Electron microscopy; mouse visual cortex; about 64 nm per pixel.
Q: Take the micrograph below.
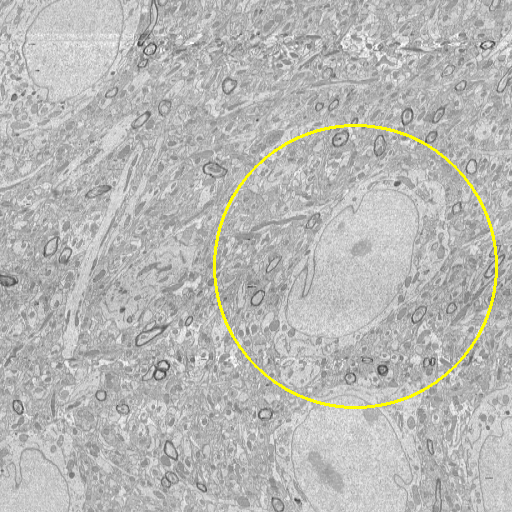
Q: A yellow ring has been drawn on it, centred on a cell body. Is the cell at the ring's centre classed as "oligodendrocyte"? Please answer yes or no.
No, its kind is another one.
